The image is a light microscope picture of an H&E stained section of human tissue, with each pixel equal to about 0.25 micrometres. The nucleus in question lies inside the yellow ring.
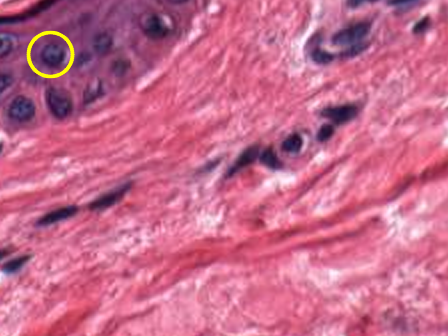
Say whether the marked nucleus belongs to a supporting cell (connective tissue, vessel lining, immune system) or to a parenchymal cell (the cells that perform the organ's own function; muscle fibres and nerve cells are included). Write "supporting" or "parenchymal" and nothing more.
parenchymal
